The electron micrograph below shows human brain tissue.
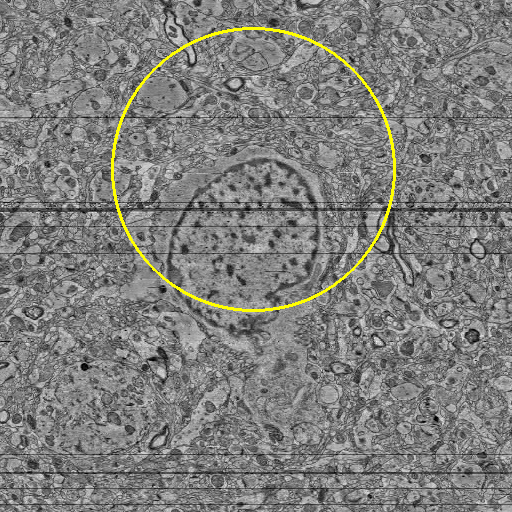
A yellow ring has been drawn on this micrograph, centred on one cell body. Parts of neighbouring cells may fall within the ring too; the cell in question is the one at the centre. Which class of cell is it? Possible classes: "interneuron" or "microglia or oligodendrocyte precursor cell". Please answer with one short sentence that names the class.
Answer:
In the centre of the ring sits a microglial cell or oligodendrocyte precursor cell.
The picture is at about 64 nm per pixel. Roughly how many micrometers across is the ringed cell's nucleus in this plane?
The nucleus is approximately 12 micrometers long by 9 micrometers wide in this plane.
